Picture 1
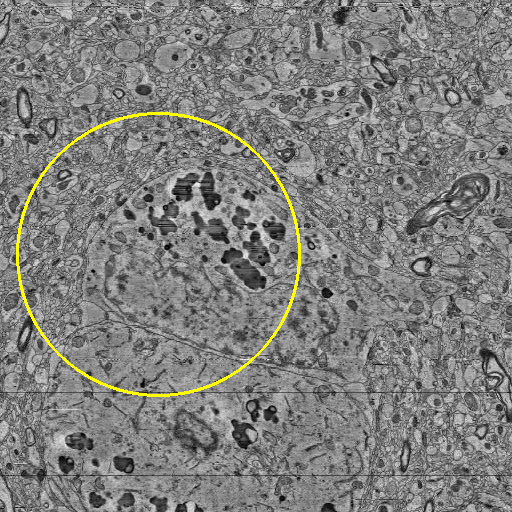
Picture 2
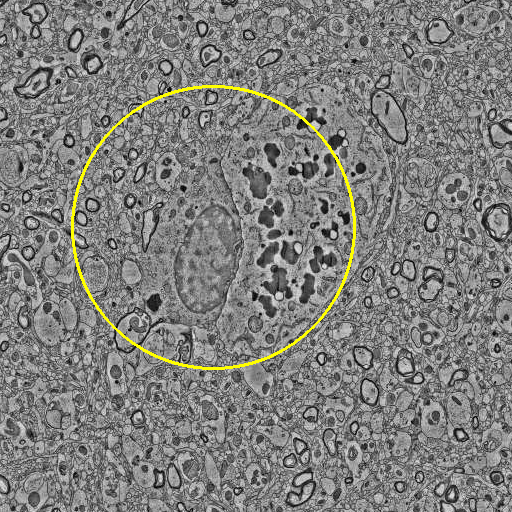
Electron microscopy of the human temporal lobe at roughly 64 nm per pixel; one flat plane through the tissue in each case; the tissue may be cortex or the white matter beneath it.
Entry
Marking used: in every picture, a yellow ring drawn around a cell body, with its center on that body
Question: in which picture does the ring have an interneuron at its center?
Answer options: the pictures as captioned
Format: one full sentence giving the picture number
Picture 1 is where the ring's center falls on the requested cell.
